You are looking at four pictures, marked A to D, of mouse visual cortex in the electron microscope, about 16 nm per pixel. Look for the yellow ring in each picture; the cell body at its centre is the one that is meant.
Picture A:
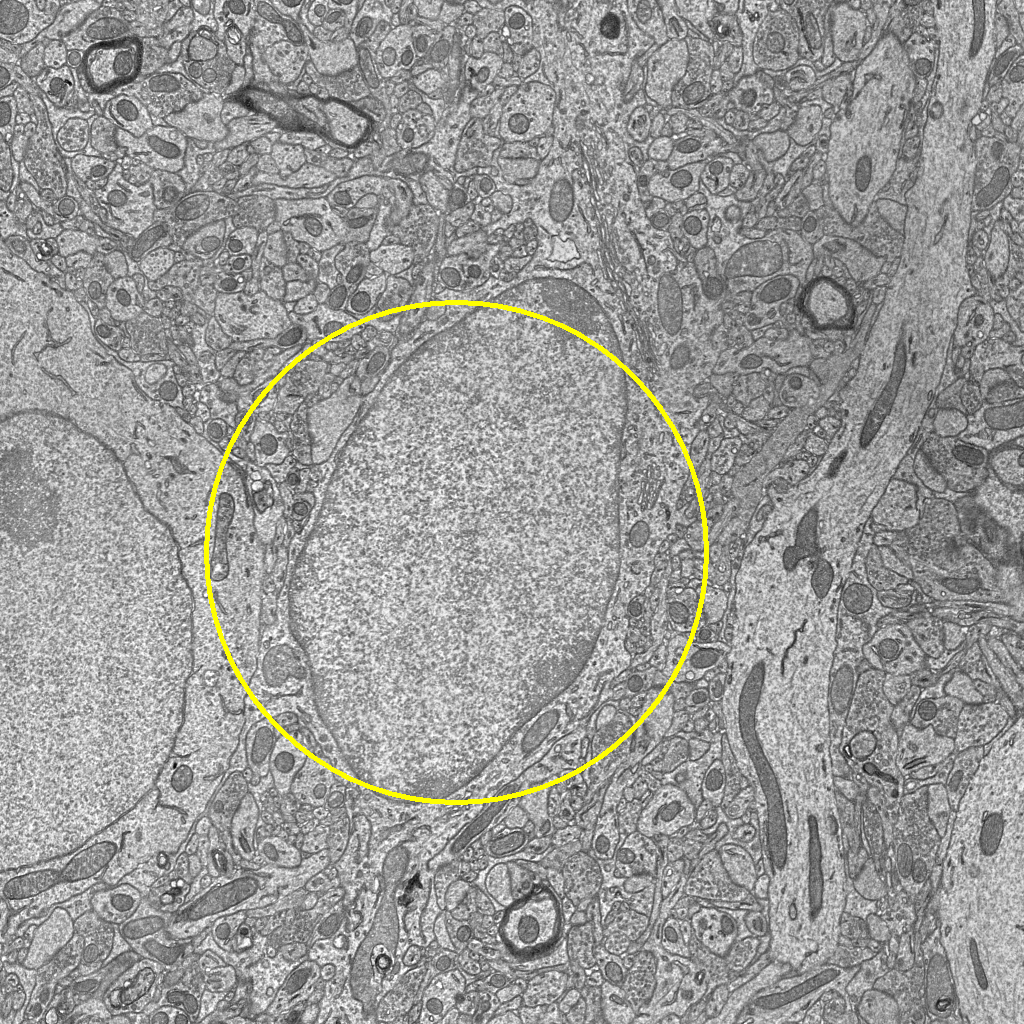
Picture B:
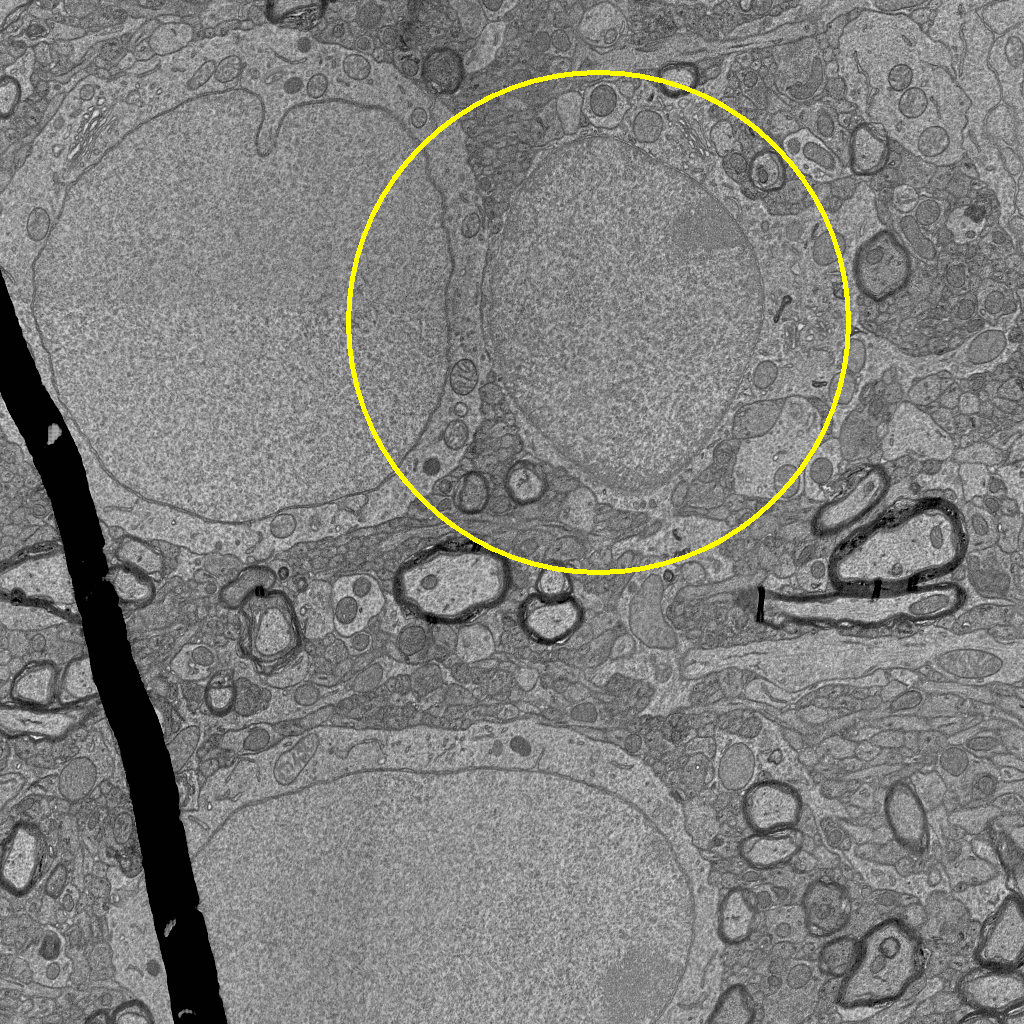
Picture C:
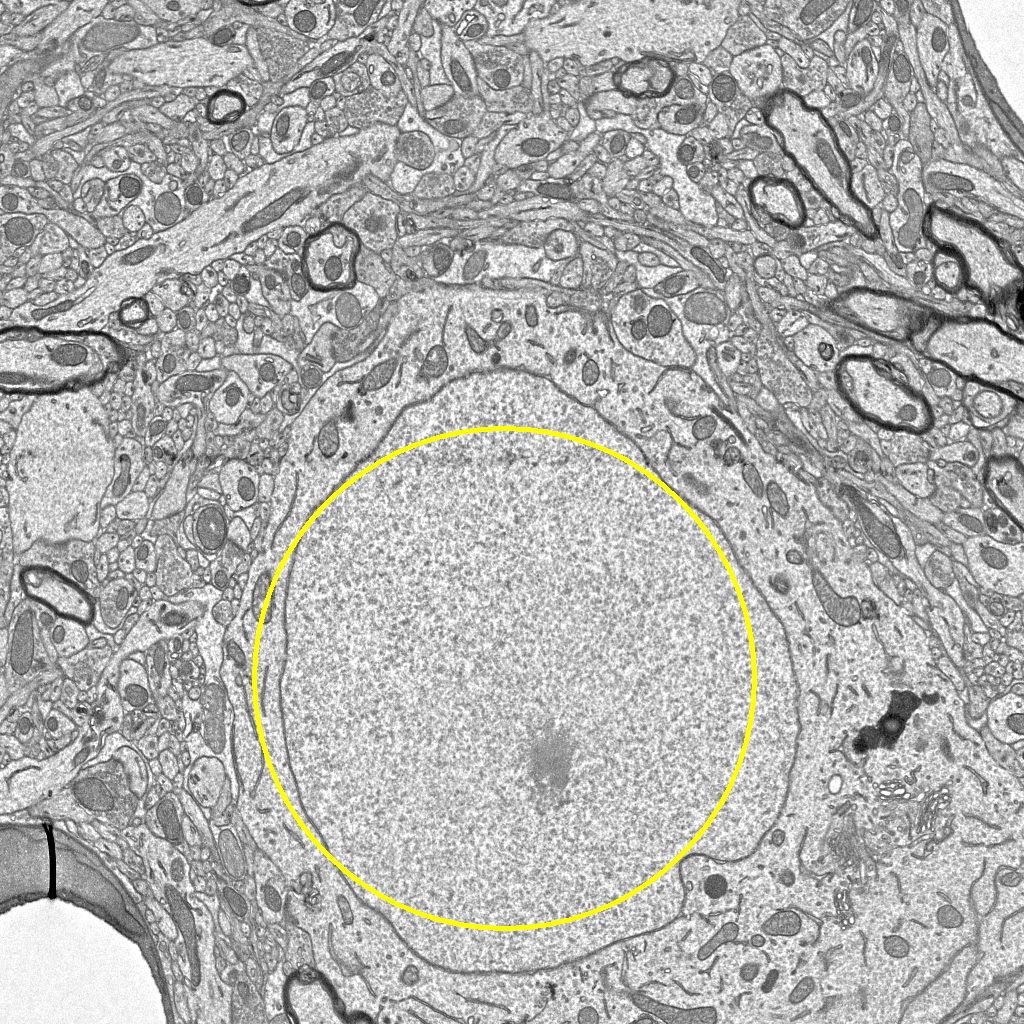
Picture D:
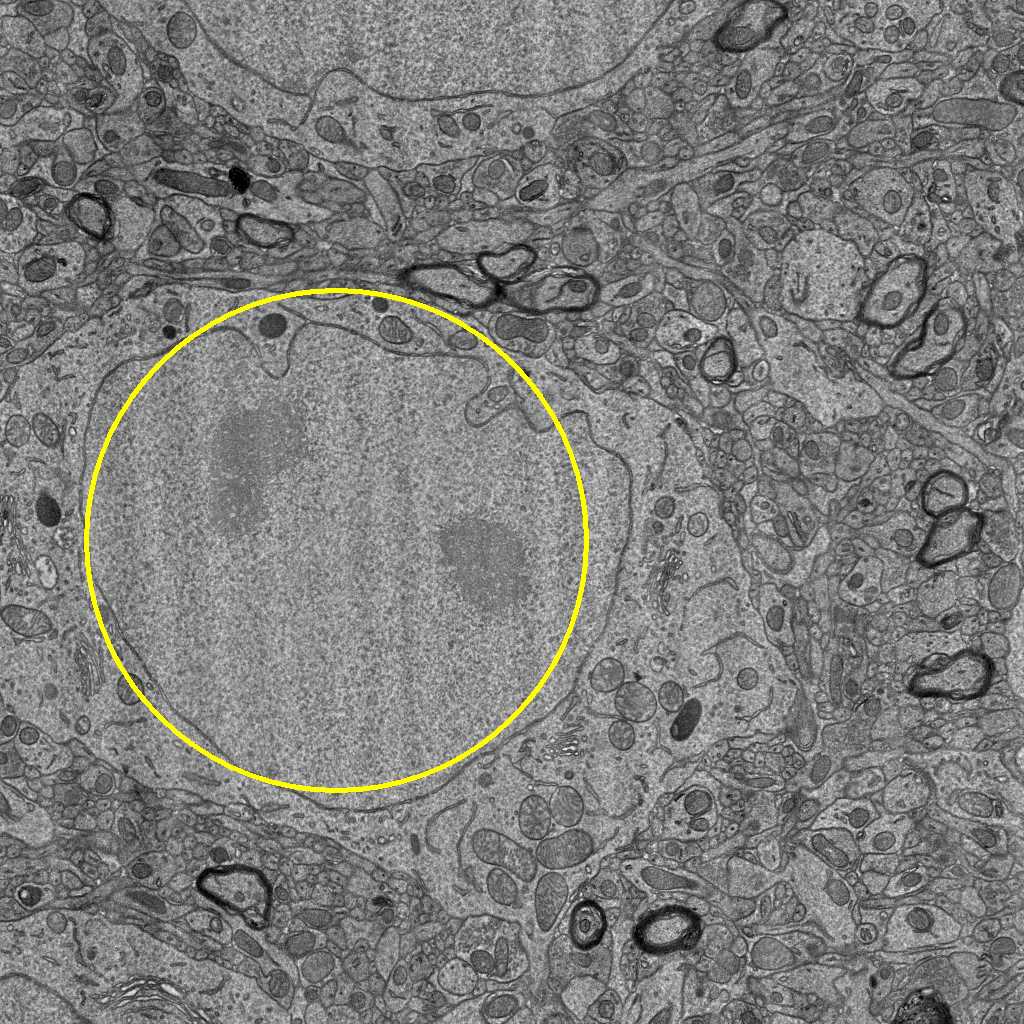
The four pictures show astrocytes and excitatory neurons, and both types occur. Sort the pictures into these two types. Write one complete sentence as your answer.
Pictures A and B show astrocytes, while pictures C and D show excitatory neurons.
